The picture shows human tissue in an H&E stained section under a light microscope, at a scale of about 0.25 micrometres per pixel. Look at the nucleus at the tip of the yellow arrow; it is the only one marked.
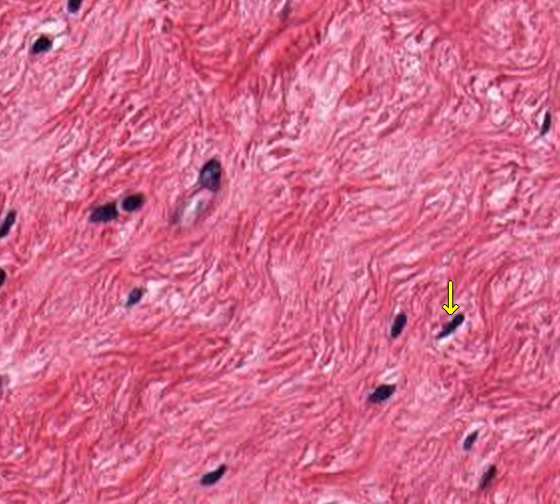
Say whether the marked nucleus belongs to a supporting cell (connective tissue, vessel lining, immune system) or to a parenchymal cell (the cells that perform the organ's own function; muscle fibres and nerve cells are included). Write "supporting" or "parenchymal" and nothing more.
supporting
